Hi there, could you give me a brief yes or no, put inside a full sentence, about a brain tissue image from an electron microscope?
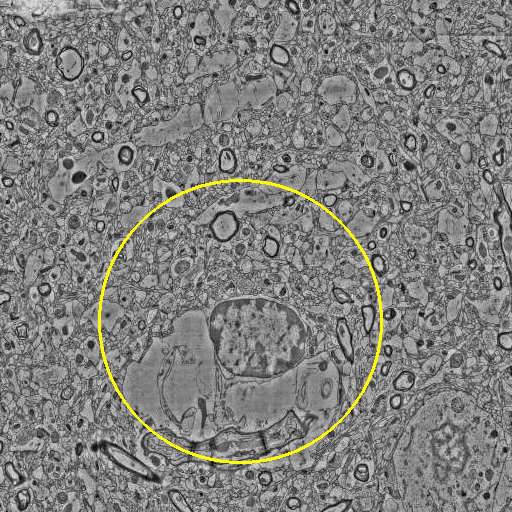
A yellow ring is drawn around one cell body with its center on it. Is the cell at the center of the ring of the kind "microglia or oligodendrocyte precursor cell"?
Yes, the cell found at the center of the yellow ring is of that kind.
